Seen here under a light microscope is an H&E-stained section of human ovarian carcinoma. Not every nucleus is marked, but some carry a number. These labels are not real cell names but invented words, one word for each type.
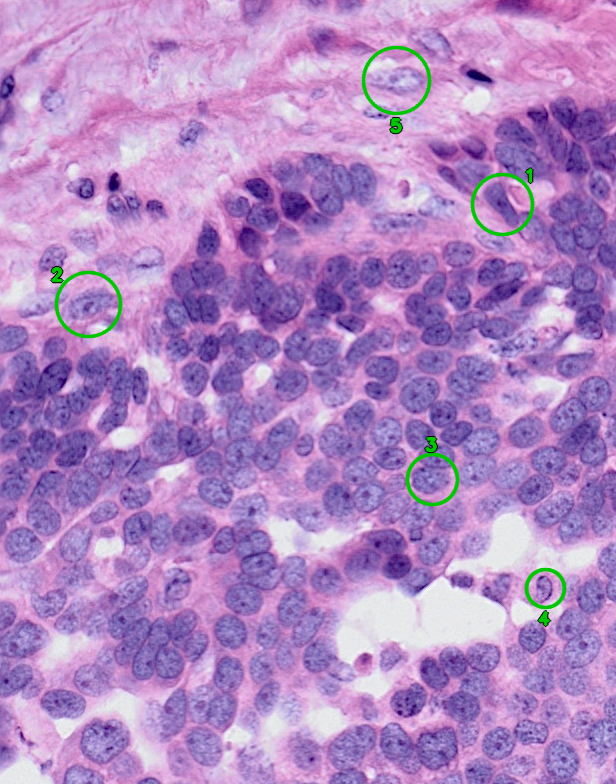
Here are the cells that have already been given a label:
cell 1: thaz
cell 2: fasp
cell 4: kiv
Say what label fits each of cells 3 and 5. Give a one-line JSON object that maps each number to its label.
{"3": "thaz", "5": "fasp"}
